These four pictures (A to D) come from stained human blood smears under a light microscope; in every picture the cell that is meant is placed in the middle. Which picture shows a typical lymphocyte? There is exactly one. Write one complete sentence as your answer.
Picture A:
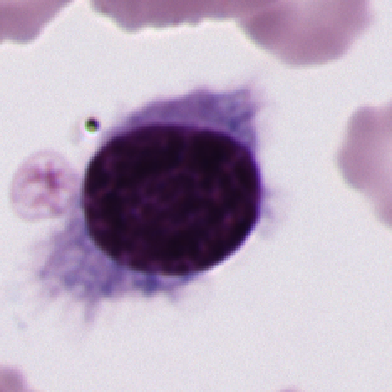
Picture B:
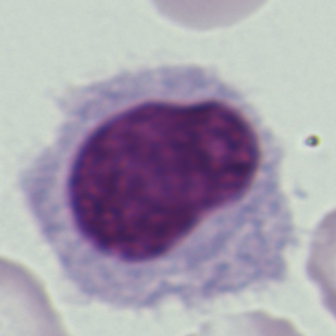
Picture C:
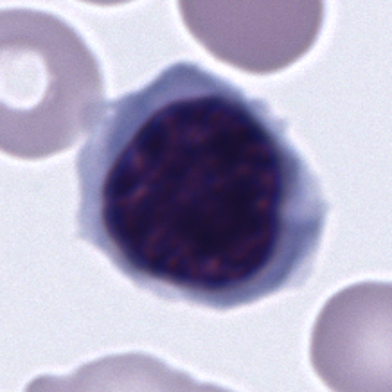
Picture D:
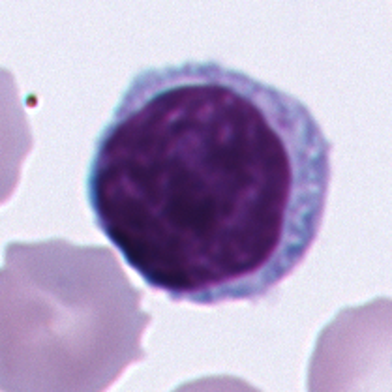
Picture D shows the typical lymphocyte.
